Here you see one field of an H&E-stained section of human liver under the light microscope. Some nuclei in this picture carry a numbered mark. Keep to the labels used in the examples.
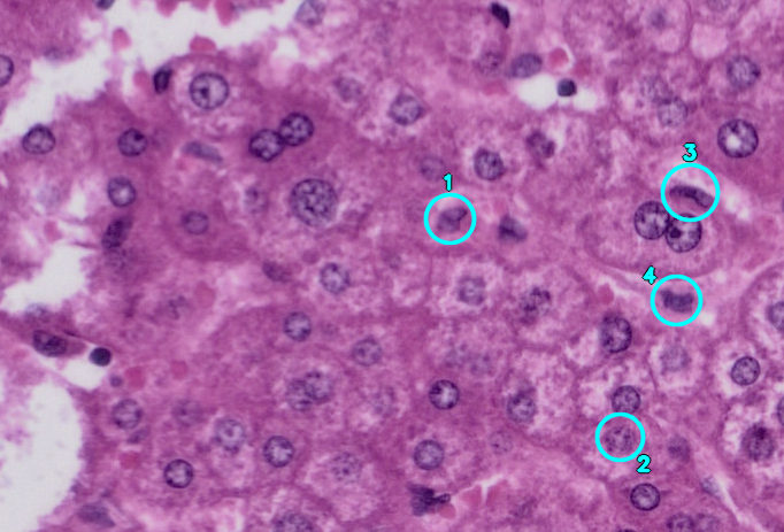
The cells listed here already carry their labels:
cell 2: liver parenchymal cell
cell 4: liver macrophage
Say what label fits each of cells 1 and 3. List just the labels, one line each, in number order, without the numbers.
liver macrophage
liver macrophage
